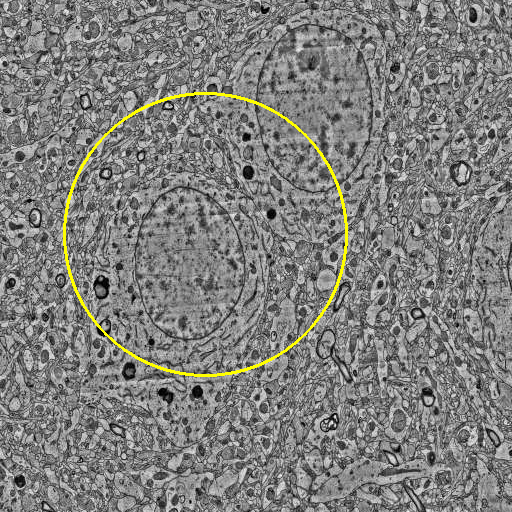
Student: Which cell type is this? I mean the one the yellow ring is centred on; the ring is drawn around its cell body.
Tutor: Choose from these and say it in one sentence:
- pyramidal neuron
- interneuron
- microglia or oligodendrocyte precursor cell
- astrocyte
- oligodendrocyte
The cell the ring is centred on is a pyramidal neuron.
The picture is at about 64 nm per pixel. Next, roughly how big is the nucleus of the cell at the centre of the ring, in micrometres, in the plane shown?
The nucleus is approximately 10 micrometers long by 7 micrometers wide in this plane.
